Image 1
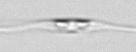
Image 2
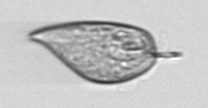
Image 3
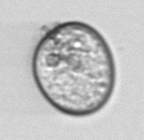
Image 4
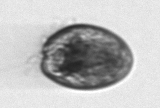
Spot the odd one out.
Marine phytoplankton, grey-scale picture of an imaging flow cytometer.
Picture 1 (Cylindrotheca among Prorocentrum).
